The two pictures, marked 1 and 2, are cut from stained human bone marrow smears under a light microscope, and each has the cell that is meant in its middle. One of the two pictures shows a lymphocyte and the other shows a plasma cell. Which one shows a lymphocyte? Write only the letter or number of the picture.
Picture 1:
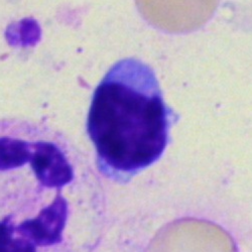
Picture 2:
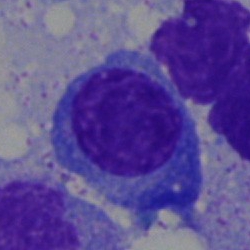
1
